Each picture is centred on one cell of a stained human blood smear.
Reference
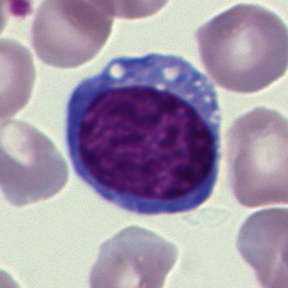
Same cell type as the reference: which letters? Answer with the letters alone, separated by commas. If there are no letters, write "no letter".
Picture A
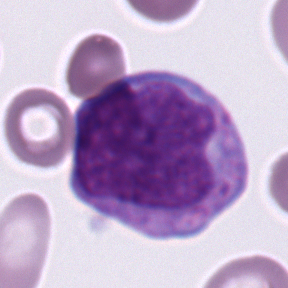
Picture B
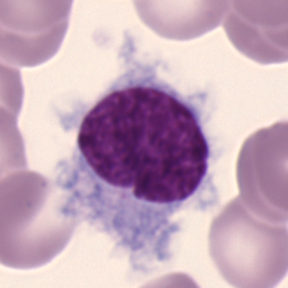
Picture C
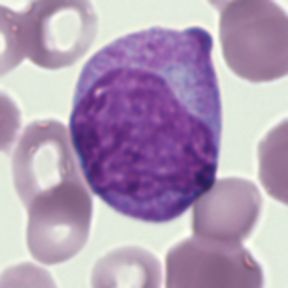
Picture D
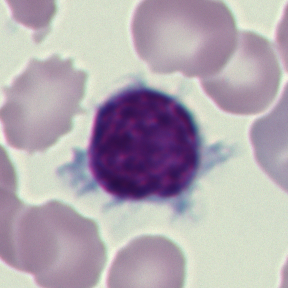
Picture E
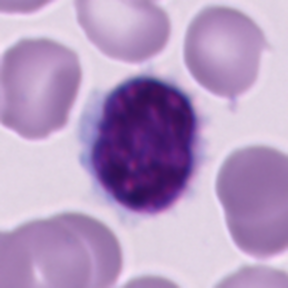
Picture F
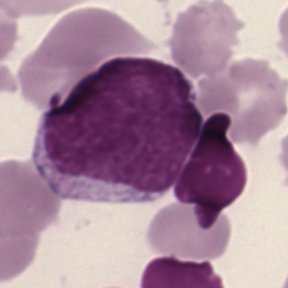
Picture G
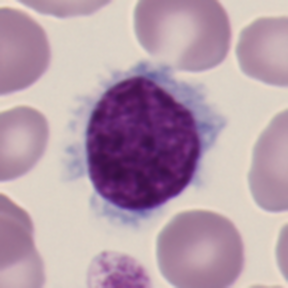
F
